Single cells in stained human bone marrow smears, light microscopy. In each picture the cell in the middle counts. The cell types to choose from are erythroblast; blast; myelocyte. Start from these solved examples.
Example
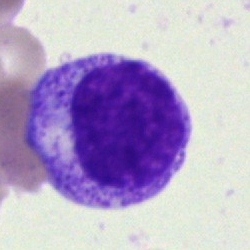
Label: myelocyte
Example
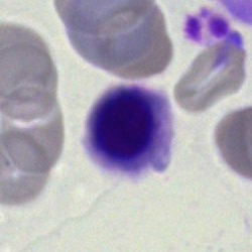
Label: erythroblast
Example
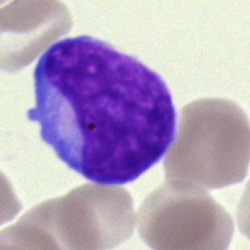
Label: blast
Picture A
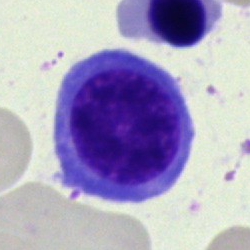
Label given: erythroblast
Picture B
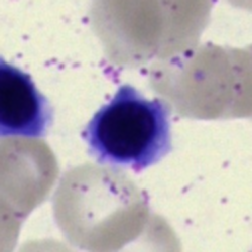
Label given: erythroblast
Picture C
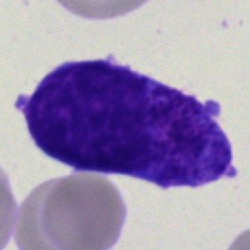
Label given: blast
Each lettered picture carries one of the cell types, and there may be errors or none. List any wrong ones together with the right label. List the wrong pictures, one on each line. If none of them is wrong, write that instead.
No label is wrong.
